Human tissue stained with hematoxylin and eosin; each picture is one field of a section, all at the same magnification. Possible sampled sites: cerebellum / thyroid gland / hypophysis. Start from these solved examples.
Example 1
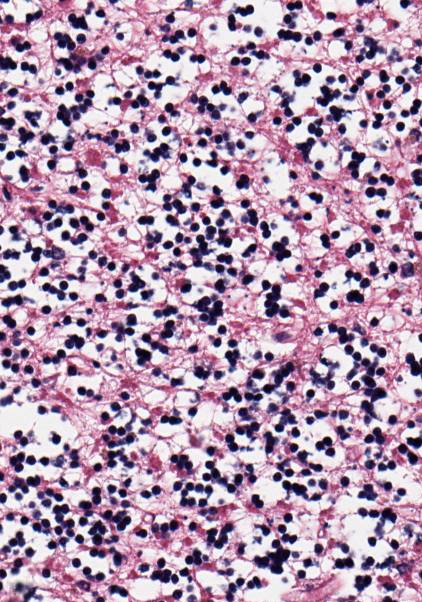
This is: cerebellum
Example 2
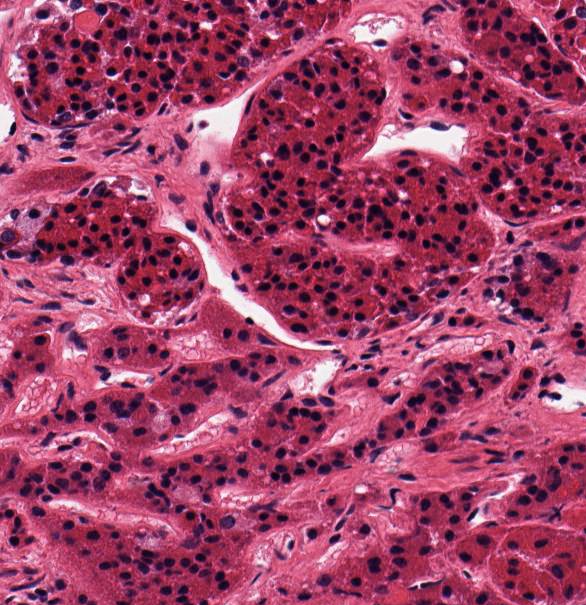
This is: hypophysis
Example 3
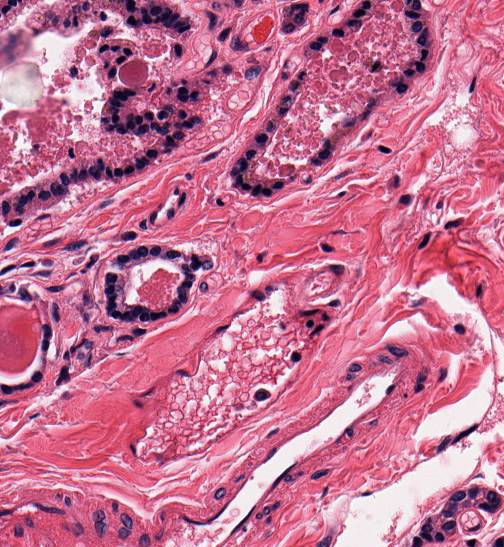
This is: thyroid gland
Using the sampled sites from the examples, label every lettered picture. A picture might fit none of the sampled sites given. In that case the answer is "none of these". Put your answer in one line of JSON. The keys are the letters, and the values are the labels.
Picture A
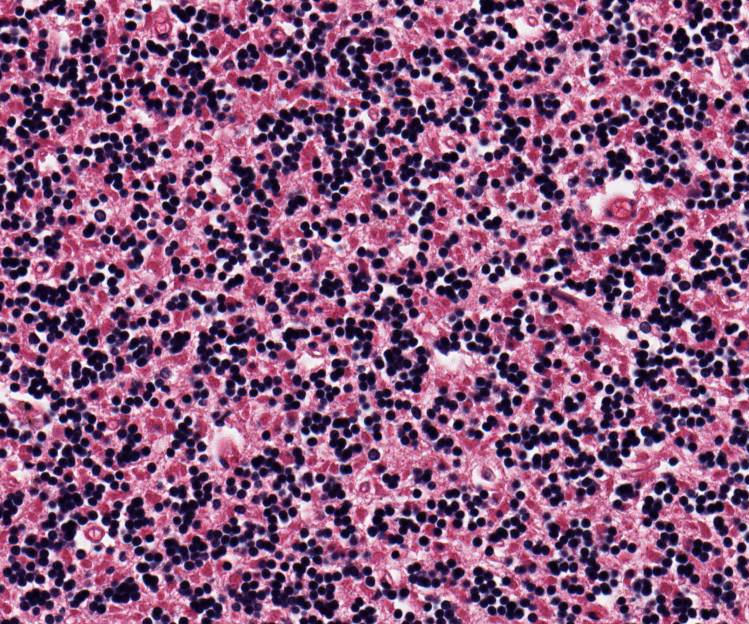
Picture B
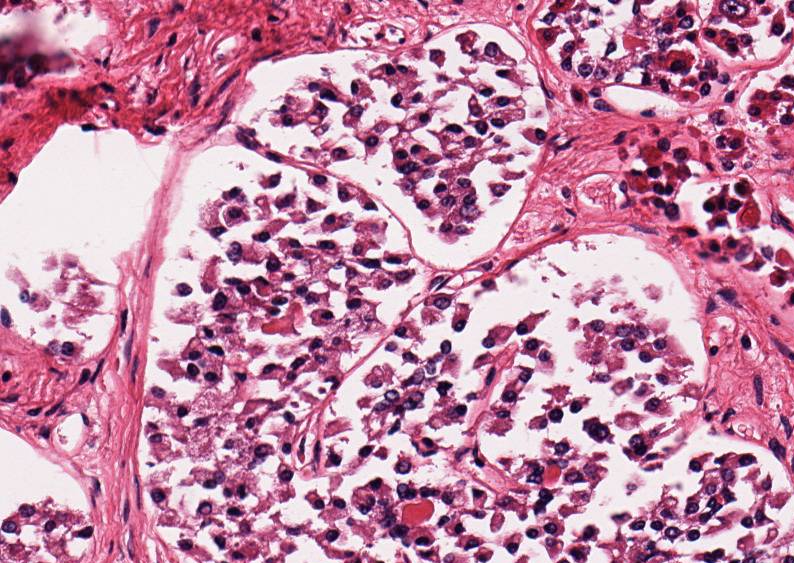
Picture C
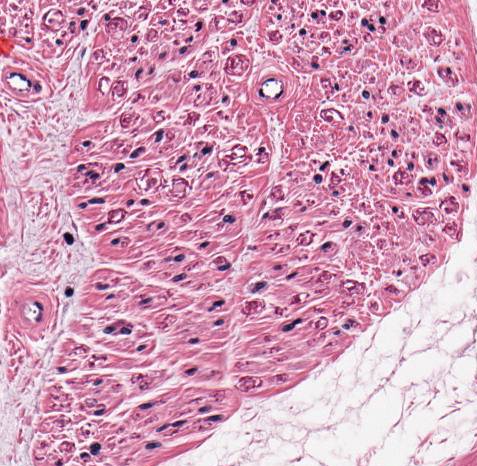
{"A": "cerebellum", "B": "hypophysis", "C": "none of these"}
